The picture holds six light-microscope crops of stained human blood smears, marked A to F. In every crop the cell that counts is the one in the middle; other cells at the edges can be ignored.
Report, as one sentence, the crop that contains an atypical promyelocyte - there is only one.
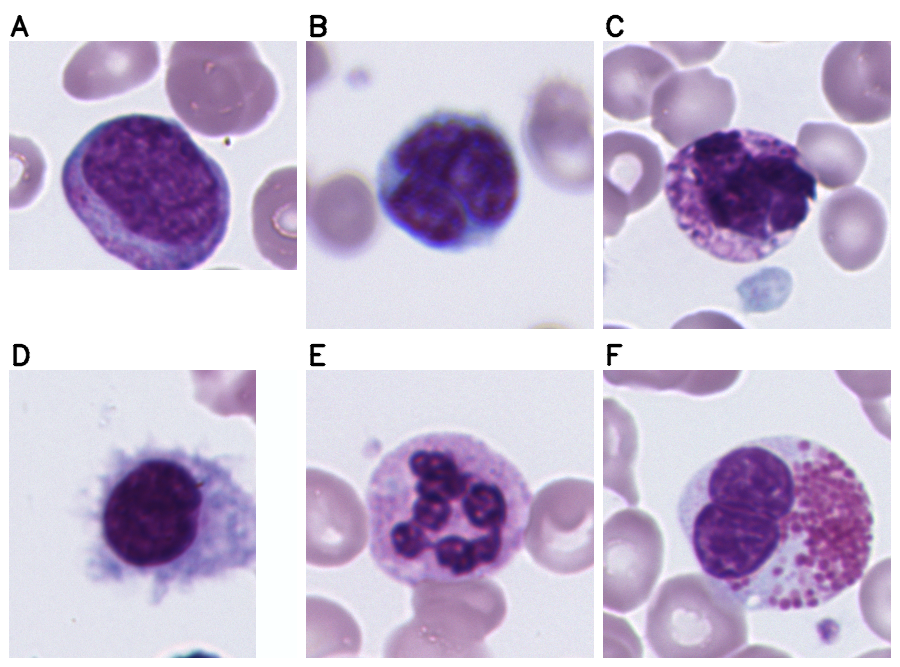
Here the crop that shows an atypical promyelocyte is crop A.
